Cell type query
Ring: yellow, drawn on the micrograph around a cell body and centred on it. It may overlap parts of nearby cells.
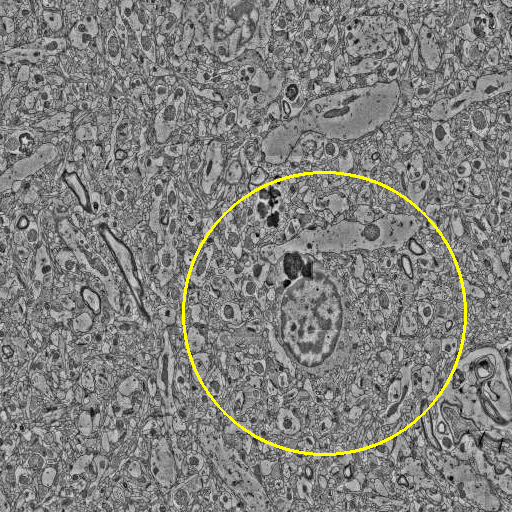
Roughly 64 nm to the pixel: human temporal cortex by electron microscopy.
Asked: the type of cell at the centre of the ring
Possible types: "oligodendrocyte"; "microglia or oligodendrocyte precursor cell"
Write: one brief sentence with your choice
The ring marks an oligodendrocyte.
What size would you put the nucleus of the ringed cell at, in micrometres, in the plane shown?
In this plane, about 6 micrometres in length and 4 in width.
